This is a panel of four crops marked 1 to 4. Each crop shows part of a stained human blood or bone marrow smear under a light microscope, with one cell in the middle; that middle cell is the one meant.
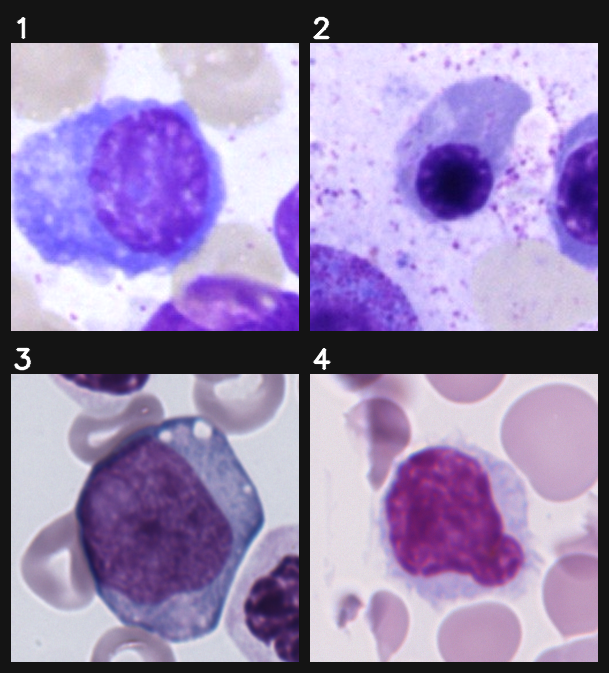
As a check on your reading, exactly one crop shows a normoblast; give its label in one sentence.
It is in crop 2 that a normoblast is shown.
